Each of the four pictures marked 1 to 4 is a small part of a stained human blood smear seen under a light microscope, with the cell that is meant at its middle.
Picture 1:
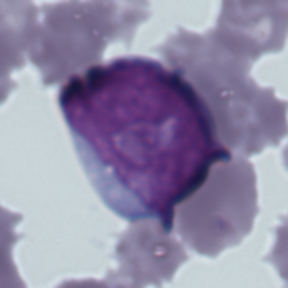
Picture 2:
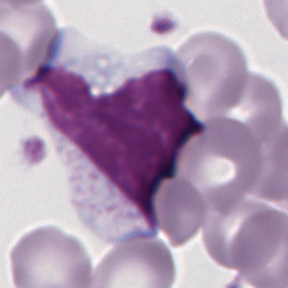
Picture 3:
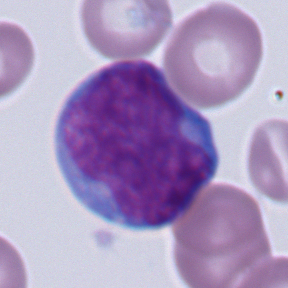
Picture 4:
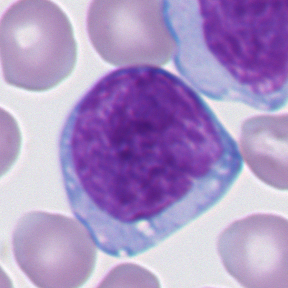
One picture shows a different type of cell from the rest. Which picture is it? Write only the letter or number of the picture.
2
